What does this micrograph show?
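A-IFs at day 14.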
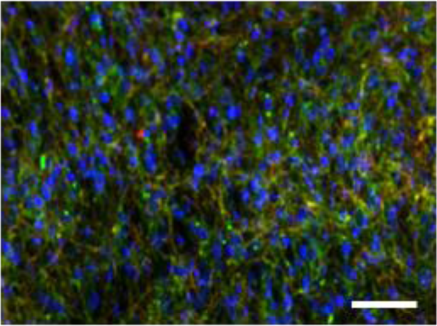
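This is a cultured cell layer with scattered oval to elongated blue nuclei lying in a fine fibrous mesh. The strands form a loose, felt-like web rather than a bounded network. A small darker gap lies near the centre.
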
